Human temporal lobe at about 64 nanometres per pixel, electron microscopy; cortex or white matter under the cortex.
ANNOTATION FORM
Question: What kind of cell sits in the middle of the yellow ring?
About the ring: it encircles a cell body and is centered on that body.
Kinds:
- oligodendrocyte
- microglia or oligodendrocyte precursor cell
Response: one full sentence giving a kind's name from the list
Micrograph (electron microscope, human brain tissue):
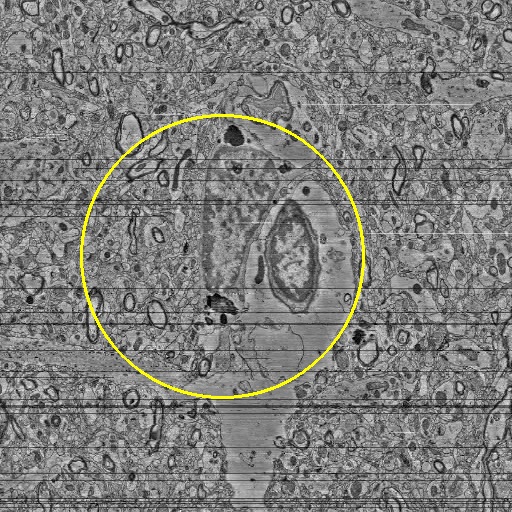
The kind of cell found at the center of the yellow ring in the micrograph is an oligodendrocyte.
